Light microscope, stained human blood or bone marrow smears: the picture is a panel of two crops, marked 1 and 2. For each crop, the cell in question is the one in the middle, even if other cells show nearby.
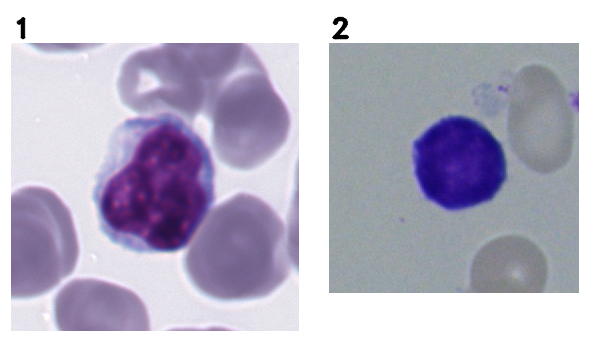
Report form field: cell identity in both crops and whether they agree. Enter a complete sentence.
Yes, both crops, not just one, show lymphocytes.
